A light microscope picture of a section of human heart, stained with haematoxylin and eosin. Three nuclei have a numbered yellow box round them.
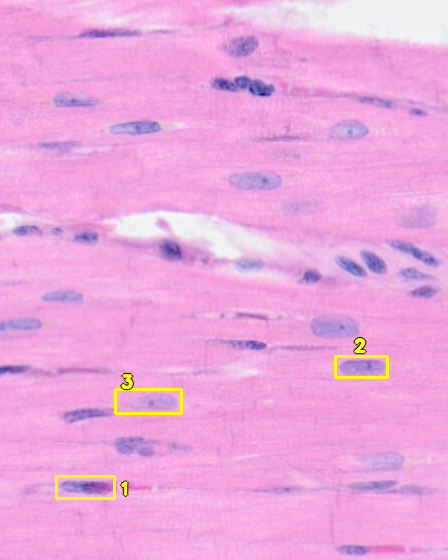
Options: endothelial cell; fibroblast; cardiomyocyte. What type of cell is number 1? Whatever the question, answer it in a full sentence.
The correct answer for cell 1 is an endothelial cell.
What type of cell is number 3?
In this section, number 3 marks a cardiomyocyte.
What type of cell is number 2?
Here, the cell given the number 2 is a cardiomyocyte.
